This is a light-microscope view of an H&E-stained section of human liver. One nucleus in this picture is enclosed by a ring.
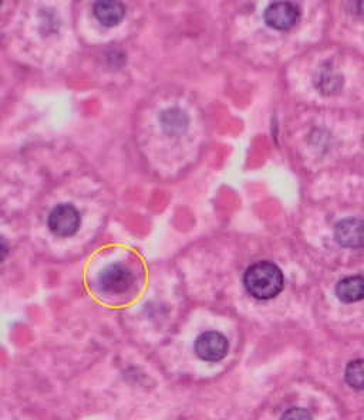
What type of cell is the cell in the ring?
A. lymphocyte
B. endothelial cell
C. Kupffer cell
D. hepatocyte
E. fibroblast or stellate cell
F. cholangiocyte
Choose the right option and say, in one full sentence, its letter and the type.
The correct option, B, describes the cell in the ring as an endothelial cell.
